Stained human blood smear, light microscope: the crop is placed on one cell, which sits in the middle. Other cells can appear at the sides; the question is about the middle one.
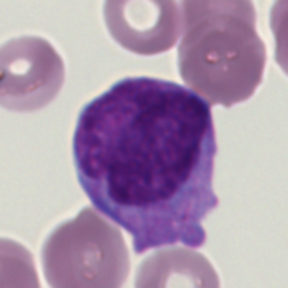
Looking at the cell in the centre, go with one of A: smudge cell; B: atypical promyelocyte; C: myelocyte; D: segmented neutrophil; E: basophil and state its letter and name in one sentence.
Option B is right, the centrally situated cell being an atypical promyelocyte.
